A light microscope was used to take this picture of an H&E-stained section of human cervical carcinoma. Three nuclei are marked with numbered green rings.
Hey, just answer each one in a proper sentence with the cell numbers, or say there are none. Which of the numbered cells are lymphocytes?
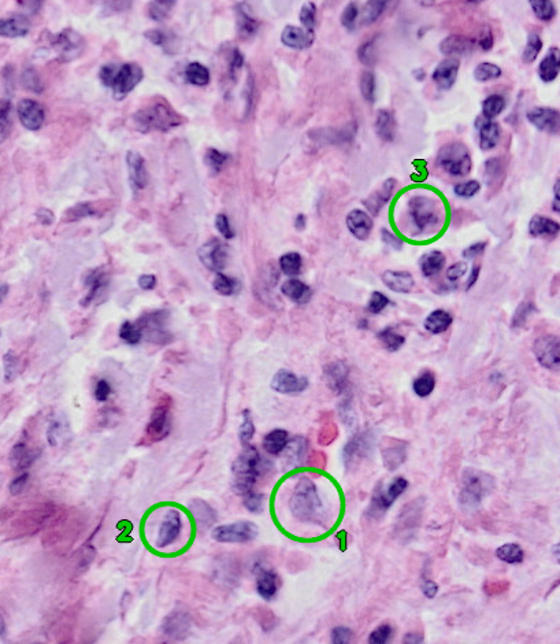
Cell 2 is a lymphocyte, and it is the only numbered cell that is.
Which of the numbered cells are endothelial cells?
Among the numbered nuclei, only the one labelled 1 belongs to an endothelial cell.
